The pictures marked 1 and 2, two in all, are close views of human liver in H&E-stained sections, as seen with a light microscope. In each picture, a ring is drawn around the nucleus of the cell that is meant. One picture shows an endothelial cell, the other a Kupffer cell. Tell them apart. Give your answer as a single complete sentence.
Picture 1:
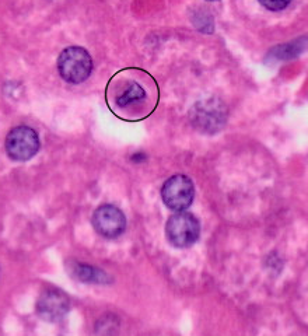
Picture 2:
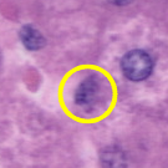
Picture 1 shows a Kupffer cell and picture 2 shows an endothelial cell.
